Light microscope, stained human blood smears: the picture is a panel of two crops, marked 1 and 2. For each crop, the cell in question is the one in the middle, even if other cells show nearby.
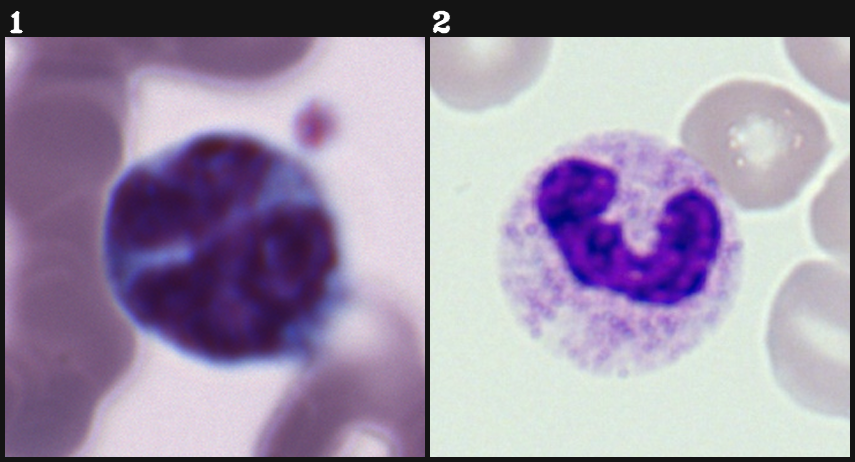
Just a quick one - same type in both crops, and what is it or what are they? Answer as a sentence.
No, in crop 1 the cell is a monocyte, and in crop 2 it is a band neutrophil.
